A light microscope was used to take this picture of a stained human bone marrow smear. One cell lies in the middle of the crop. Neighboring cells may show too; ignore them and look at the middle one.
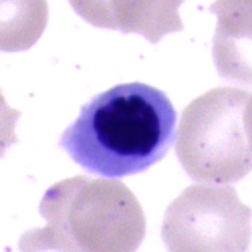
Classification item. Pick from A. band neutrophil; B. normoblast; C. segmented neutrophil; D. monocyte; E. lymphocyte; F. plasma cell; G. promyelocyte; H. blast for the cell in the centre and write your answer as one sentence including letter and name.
The best answer is option B, since the cell in the middle is a normoblast.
